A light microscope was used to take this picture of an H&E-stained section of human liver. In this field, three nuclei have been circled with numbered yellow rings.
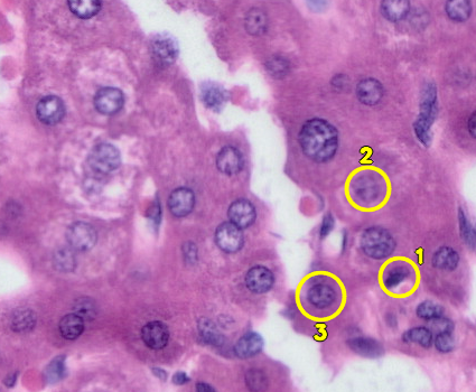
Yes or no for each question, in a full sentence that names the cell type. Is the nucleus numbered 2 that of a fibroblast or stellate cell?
No, cell number 2 is identified as a hepatocyte, not as a fibroblast or stellate cell.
